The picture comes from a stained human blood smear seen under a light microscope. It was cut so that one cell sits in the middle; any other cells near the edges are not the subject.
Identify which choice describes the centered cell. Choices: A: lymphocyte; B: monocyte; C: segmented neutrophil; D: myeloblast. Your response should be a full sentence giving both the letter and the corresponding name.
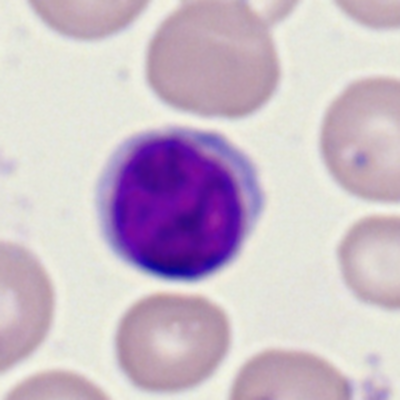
Option A is correct, naming the cell in the middle as a lymphocyte.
